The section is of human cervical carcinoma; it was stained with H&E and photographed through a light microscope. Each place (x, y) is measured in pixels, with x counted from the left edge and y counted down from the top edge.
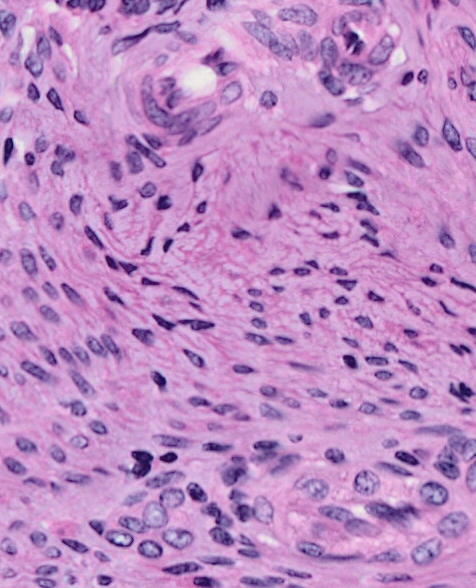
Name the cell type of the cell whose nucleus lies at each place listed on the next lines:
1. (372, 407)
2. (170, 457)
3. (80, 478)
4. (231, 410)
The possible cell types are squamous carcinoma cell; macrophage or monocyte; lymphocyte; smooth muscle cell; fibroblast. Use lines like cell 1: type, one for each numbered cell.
cell 1: smooth muscle cell
cell 2: lymphocyte
cell 3: smooth muscle cell
cell 4: smooth muscle cell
